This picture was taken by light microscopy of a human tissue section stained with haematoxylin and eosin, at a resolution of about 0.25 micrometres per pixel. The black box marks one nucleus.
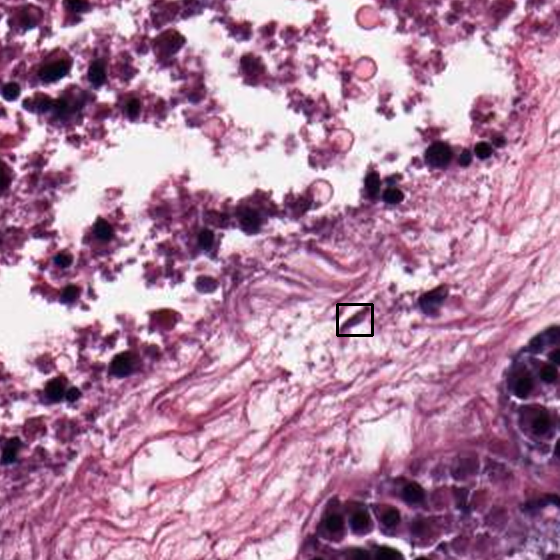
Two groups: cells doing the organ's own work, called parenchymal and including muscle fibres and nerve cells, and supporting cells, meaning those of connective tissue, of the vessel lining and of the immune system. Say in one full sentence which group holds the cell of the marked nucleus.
Within this section, the marked nucleus belongs to a supporting cell.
